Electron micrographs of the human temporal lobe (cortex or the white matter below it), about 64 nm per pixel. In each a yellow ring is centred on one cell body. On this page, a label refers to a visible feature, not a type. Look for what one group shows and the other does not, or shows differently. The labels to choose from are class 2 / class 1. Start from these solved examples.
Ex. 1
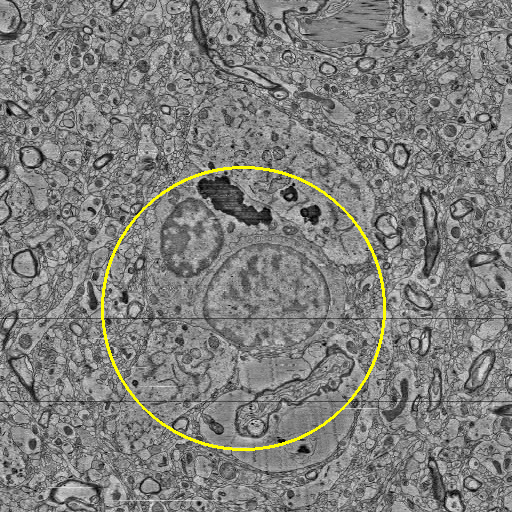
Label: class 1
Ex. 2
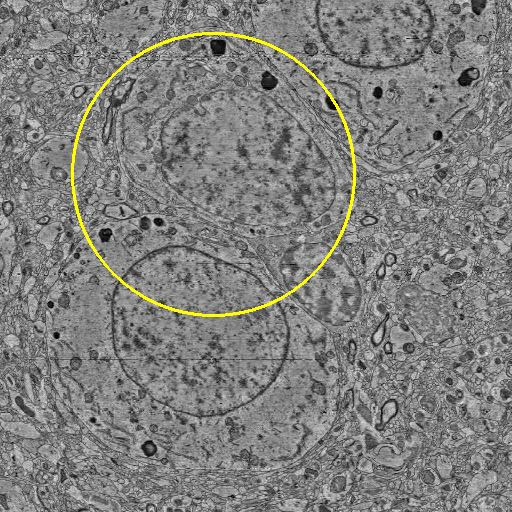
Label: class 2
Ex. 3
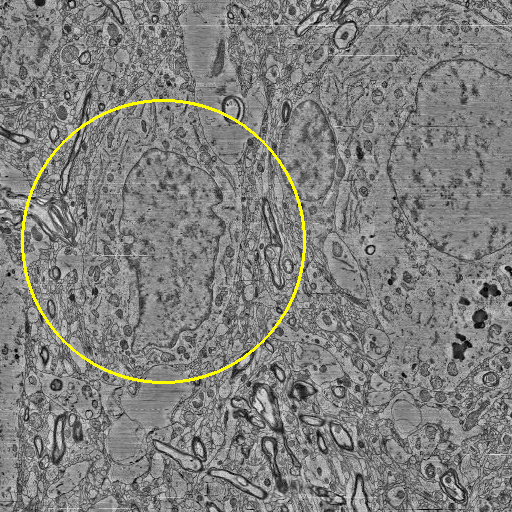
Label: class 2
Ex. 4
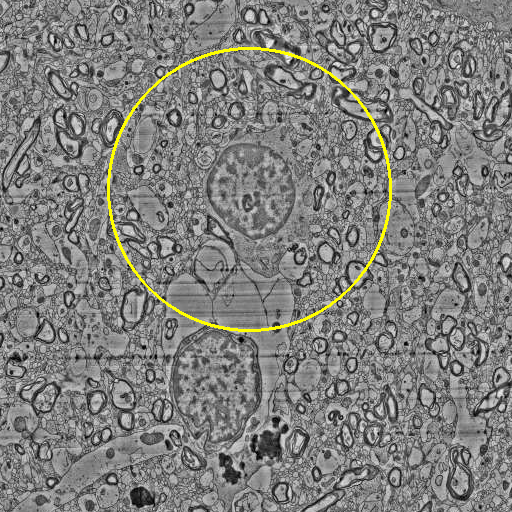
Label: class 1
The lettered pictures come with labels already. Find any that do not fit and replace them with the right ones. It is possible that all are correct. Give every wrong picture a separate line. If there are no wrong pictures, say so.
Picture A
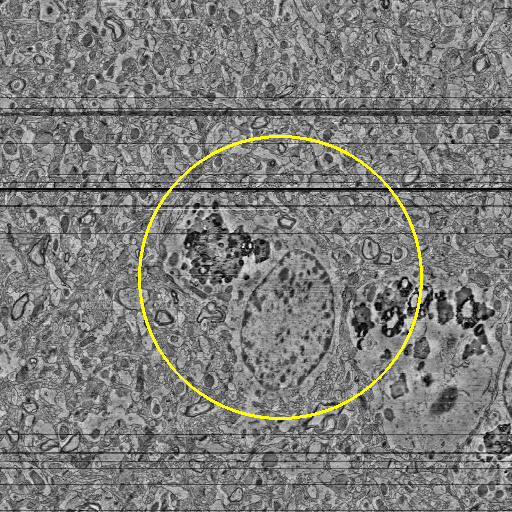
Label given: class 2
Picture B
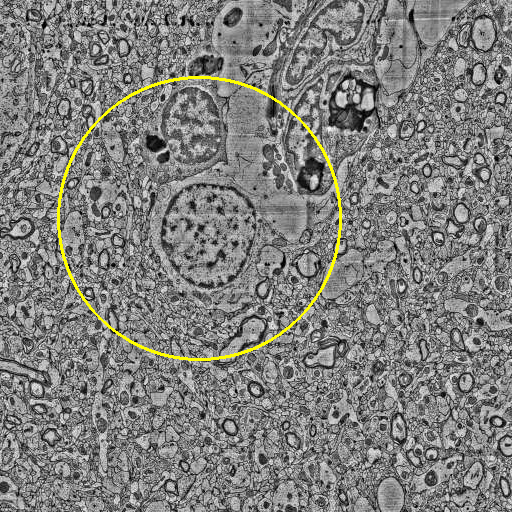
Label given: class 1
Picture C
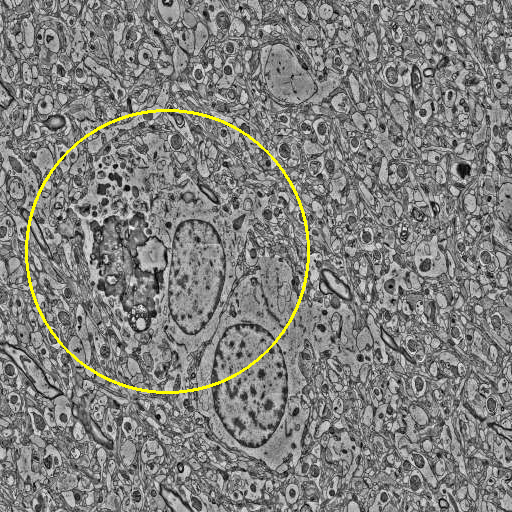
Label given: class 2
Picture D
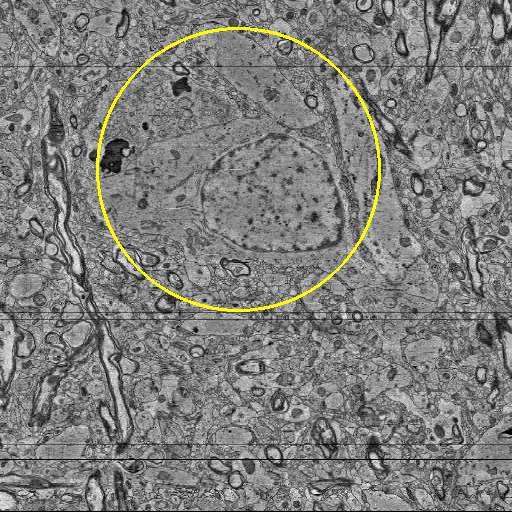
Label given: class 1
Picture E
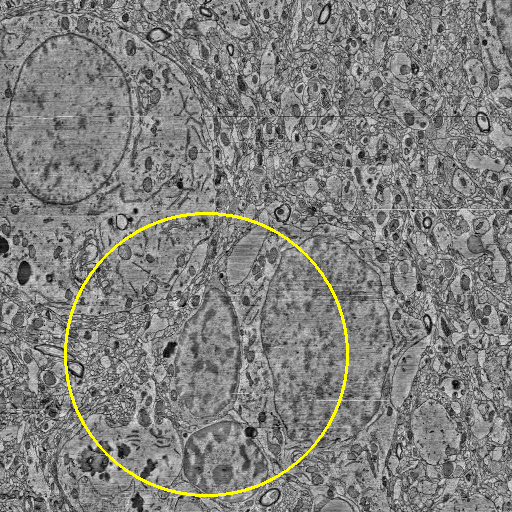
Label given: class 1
Wrong: E (class 1); correct: class 2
